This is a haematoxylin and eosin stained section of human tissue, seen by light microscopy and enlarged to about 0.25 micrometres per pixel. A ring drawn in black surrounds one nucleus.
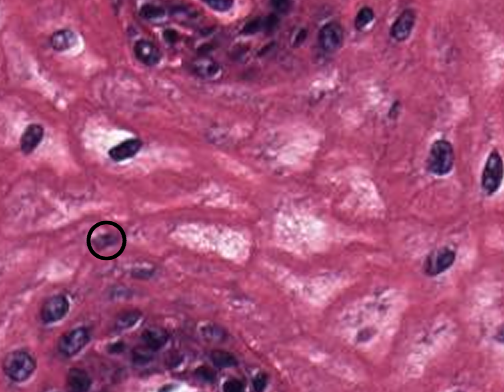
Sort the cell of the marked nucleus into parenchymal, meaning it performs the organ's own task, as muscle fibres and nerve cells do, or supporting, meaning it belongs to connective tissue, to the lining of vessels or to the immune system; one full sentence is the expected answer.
A parenchymal cell, namely a squamous epithelial cell, is the owner of the marked nucleus.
